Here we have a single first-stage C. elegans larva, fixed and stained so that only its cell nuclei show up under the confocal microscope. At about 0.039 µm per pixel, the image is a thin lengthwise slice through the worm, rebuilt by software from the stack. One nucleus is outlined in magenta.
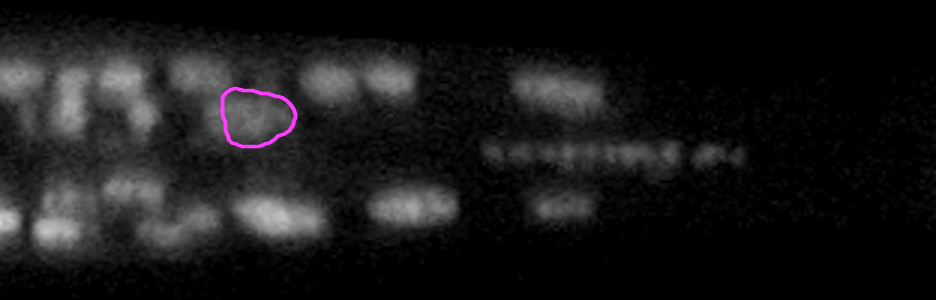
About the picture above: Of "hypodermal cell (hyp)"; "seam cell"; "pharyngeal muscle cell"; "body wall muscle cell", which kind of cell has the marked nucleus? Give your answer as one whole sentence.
It belongs to a pharyngeal muscle cell.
